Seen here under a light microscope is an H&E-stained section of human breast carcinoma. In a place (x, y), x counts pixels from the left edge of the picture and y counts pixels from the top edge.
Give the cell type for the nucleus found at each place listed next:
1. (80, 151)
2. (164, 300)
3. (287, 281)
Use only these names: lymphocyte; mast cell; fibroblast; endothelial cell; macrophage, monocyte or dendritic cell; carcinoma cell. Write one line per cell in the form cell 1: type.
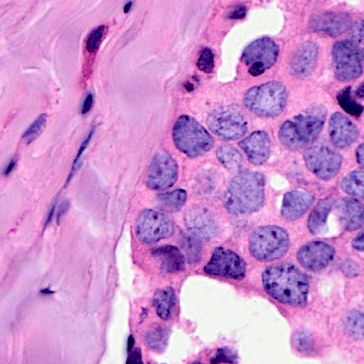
cell 1: fibroblast
cell 2: carcinoma cell
cell 3: carcinoma cell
